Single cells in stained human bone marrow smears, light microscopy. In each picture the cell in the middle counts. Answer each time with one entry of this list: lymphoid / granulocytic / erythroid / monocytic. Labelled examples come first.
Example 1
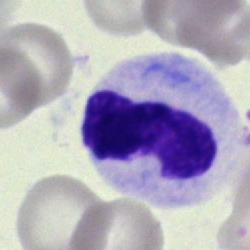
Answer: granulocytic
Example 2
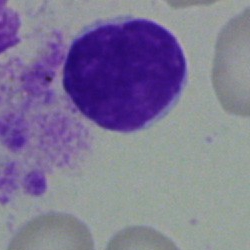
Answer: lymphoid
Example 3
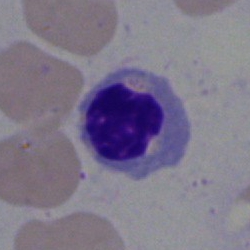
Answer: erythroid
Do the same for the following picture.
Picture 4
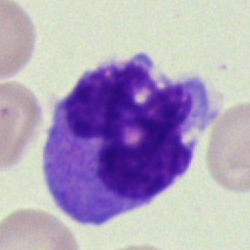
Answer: monocytic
